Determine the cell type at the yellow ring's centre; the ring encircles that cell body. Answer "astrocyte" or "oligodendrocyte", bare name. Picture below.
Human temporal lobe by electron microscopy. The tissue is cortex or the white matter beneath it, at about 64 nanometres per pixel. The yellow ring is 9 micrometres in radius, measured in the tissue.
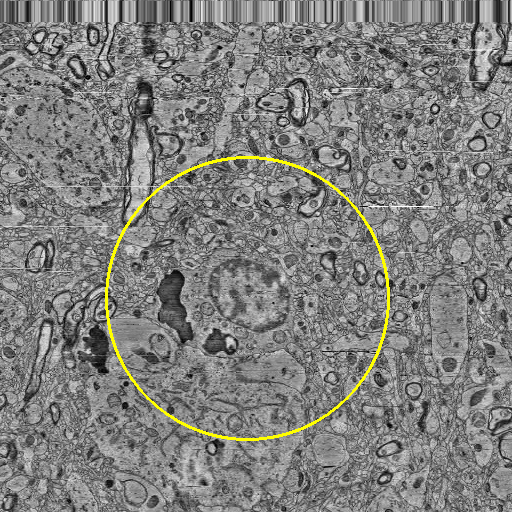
oligodendrocyte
